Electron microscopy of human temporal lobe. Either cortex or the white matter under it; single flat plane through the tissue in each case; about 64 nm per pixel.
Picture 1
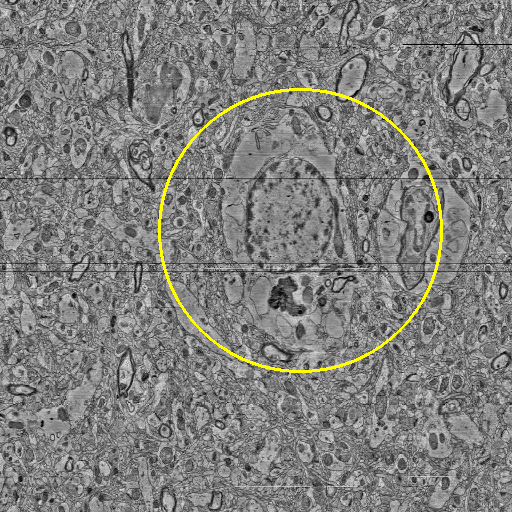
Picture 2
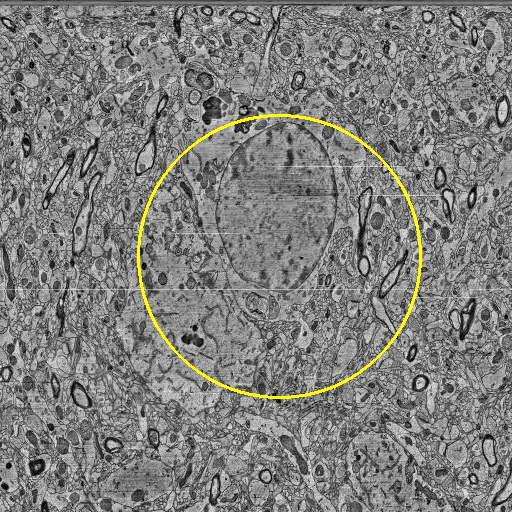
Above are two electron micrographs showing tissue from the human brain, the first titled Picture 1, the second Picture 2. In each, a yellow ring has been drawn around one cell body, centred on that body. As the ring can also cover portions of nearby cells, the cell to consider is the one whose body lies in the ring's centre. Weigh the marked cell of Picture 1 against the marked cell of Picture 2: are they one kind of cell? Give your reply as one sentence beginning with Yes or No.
Yes, the two cells sitting at the ring centres in the pictures are of one kind.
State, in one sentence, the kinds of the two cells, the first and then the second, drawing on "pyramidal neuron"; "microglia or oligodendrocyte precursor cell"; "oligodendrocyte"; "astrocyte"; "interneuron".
Both rings mark an astrocyte, one in each picture.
